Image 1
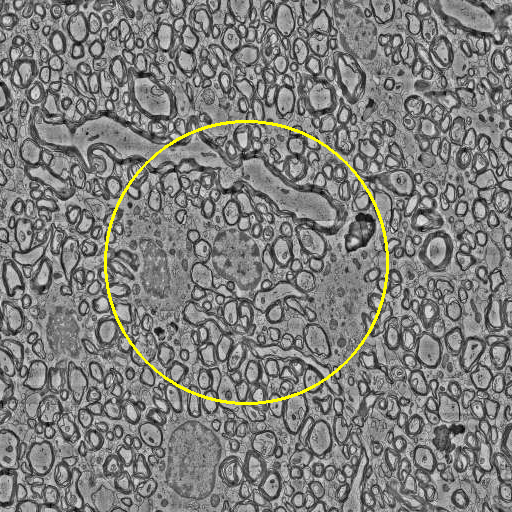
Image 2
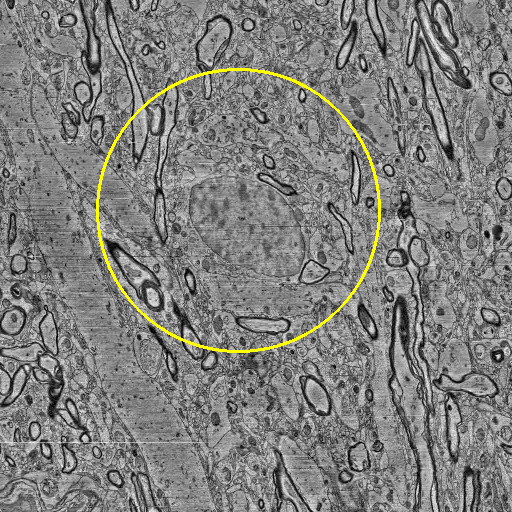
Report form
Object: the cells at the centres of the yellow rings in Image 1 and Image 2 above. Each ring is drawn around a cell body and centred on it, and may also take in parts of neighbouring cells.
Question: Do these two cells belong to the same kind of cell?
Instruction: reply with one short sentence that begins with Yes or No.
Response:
No, they belong to two kinds of cell.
